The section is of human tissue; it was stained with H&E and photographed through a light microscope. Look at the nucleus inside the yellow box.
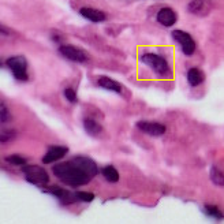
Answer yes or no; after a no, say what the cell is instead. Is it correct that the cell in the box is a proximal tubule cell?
No, it is a fibroblast.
